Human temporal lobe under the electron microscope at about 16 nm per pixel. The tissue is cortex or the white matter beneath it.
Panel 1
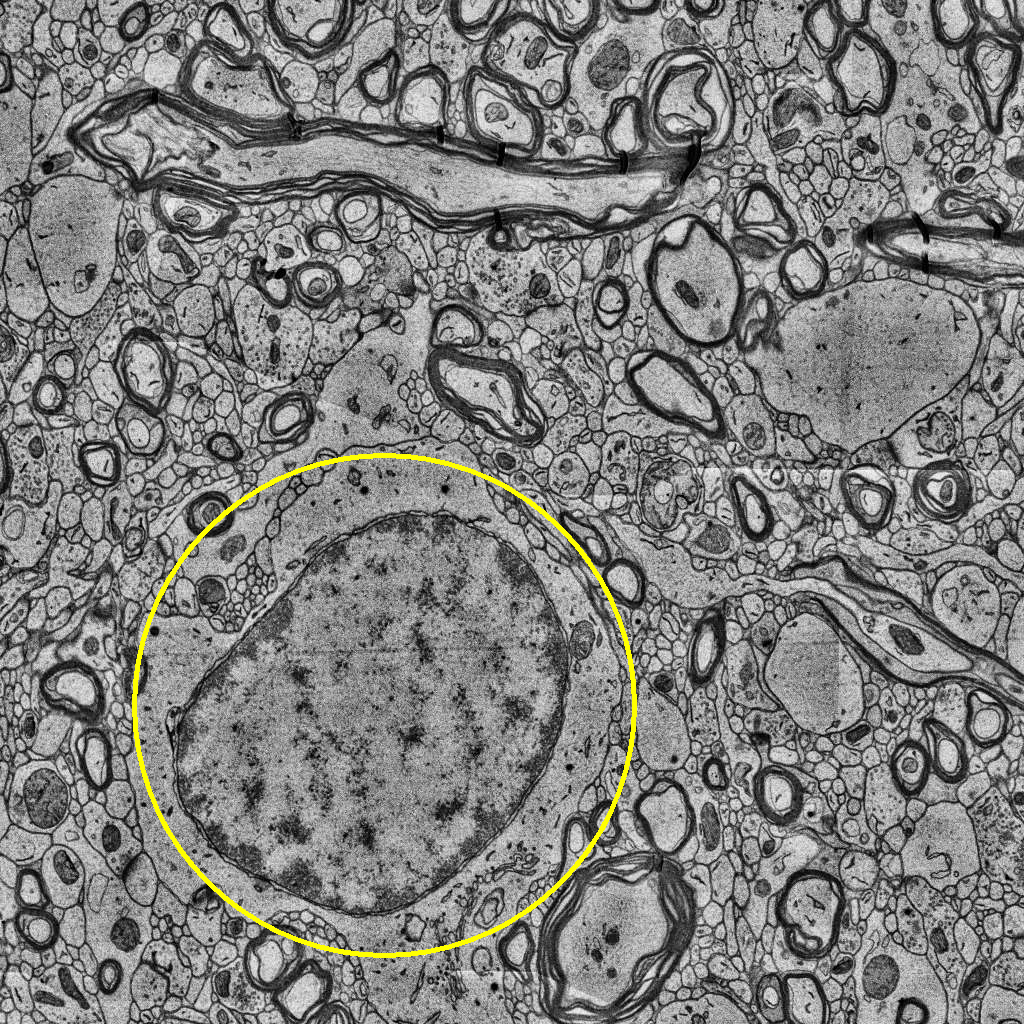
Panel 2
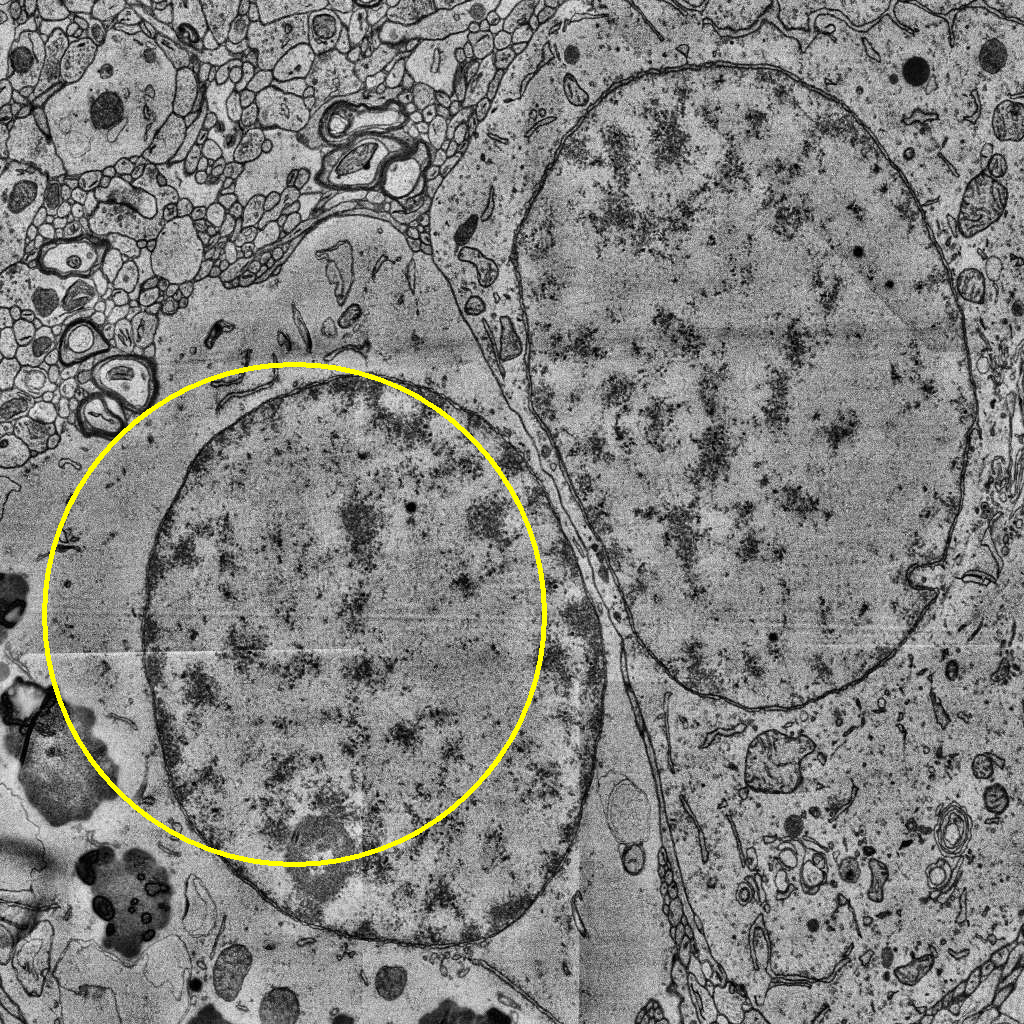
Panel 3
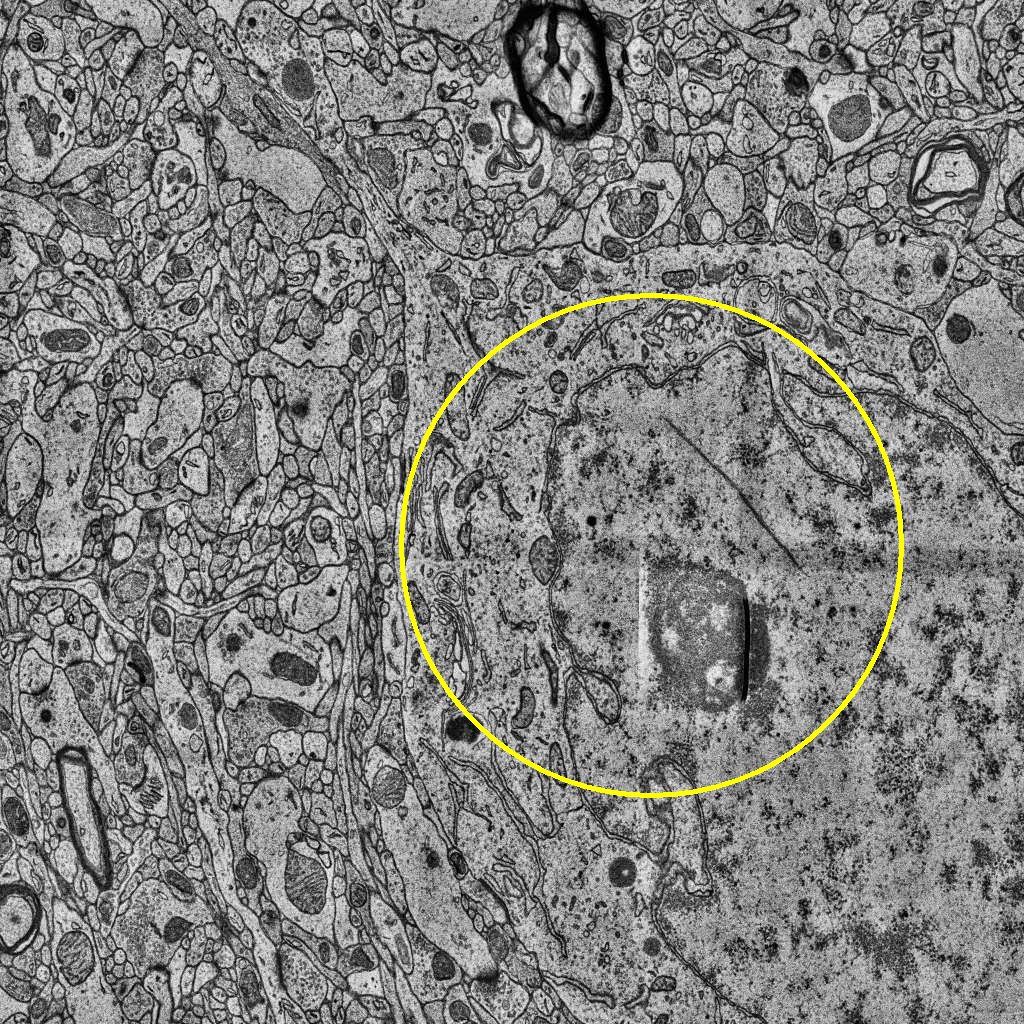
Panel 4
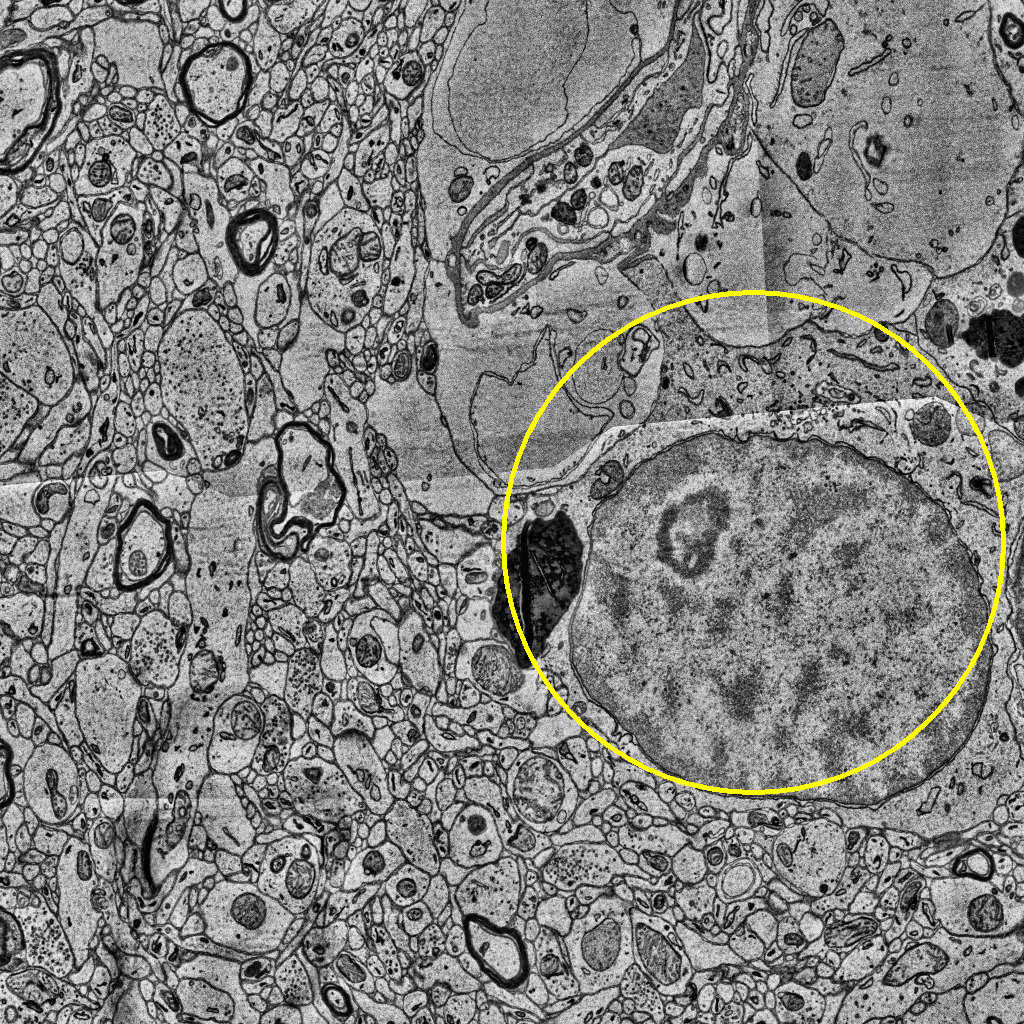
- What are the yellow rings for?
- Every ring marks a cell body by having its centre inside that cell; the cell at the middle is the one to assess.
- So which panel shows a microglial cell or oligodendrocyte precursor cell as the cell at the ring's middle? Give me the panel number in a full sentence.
The panel whose ring has its middle inside the cell in question is panel 1.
